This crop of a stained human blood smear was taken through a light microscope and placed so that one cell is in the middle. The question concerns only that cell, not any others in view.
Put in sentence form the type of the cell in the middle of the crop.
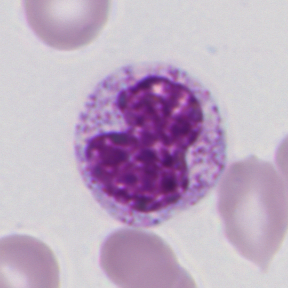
At the crop's centre, the cell is a metamyelocyte.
